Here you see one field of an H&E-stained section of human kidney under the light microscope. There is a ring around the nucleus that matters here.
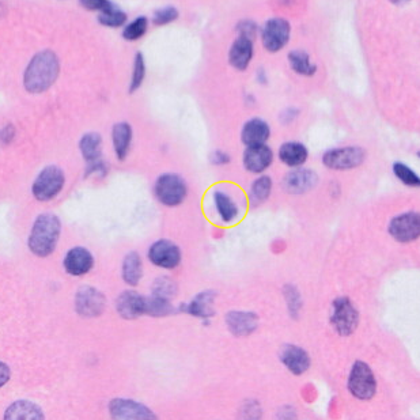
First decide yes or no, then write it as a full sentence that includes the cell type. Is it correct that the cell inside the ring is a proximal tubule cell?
No, the cell inside the ring is an endothelial cell rather than a proximal tubule cell.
